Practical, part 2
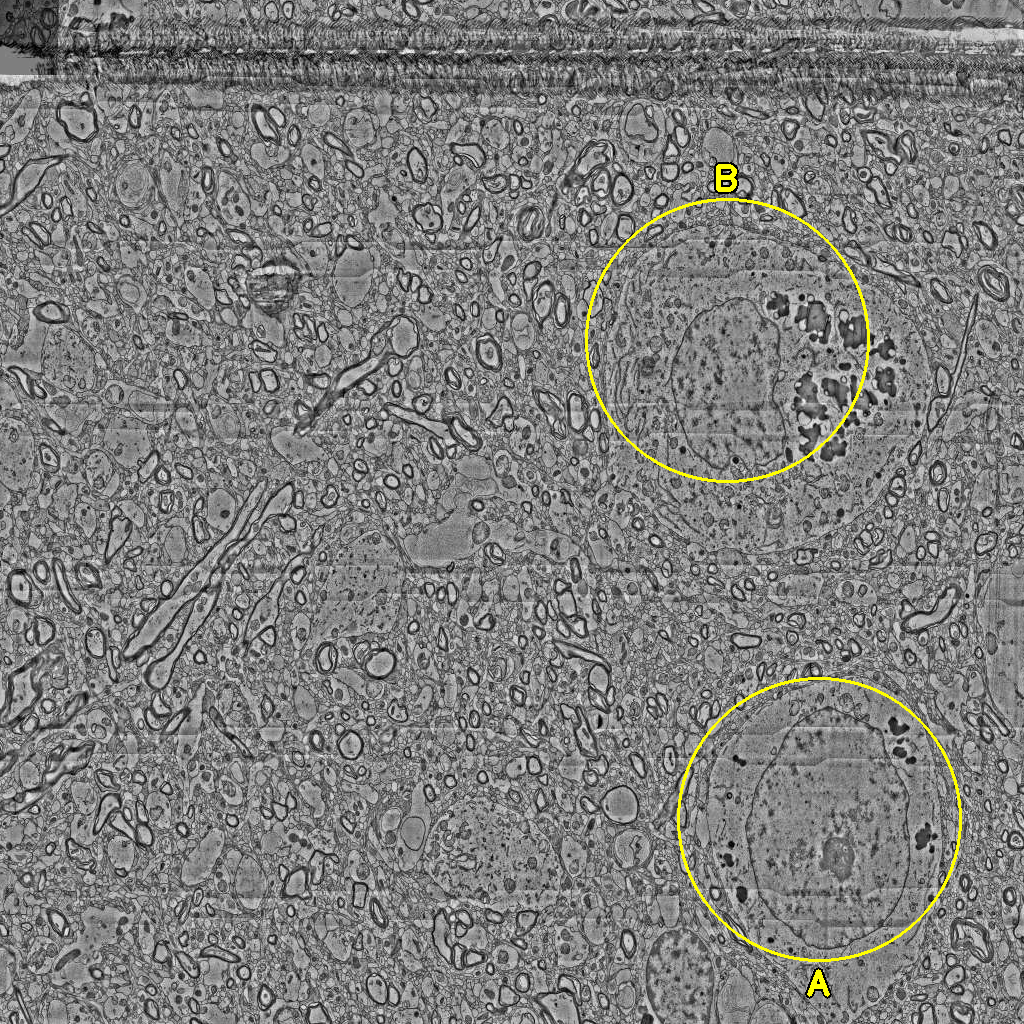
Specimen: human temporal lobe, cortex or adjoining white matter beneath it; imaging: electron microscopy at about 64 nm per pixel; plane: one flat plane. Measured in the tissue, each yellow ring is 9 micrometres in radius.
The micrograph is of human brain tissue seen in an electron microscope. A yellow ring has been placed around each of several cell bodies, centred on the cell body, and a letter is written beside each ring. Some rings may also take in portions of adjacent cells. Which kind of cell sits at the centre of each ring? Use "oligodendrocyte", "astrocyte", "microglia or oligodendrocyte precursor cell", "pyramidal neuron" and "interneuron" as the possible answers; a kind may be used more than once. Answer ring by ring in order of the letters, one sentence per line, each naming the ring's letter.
Ring A sits on a pyramidal neuron.
Ring B sits on a pyramidal neuron.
